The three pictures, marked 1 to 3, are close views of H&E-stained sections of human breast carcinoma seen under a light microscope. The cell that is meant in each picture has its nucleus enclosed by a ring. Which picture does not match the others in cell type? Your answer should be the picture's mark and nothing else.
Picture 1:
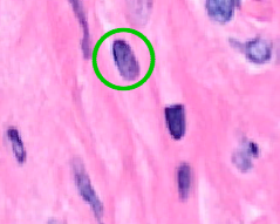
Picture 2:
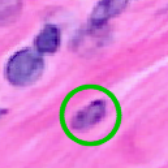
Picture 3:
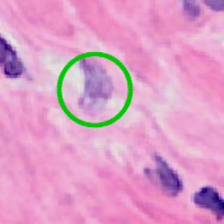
3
